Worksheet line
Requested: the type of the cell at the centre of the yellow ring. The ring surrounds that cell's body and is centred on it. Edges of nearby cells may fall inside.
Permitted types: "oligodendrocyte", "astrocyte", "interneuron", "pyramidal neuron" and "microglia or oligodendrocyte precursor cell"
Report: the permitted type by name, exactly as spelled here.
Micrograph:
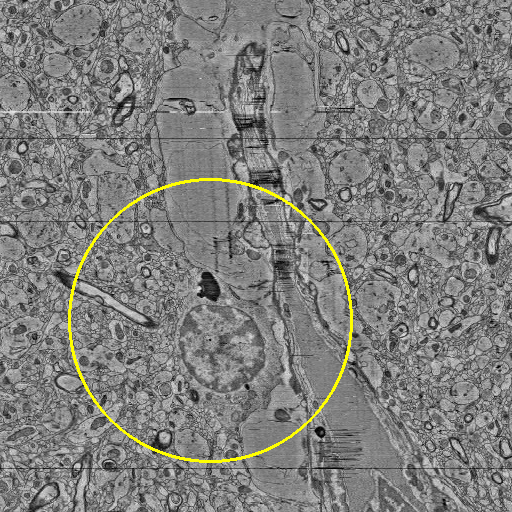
oligodendrocyte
